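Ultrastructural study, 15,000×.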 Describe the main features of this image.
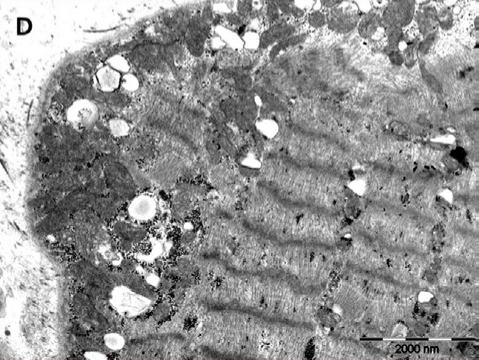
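This electron micrograph shows the edge of a skeletal muscle fiber. Myofibrils with regular cross-striations run across the field. At the left, beneath the fiber surface, is a dense, granular region containing clear vacuoles. Rounded, dense organelles lie in clusters between the myofibrils and toward the upper right of the fiber. Scattered empty-looking vacuoles are also present within the fiber.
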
